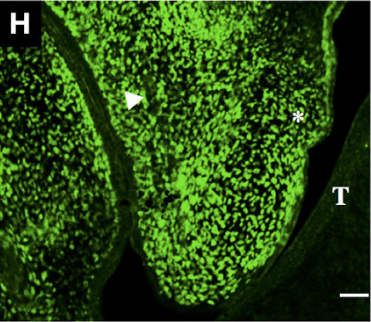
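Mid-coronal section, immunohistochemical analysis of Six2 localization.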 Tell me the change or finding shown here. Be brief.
Remain oriented vertically alongside the tongue.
